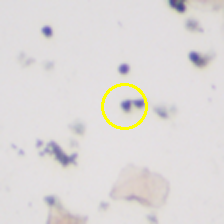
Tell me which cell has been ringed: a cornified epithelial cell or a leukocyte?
It is a leukocyte.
